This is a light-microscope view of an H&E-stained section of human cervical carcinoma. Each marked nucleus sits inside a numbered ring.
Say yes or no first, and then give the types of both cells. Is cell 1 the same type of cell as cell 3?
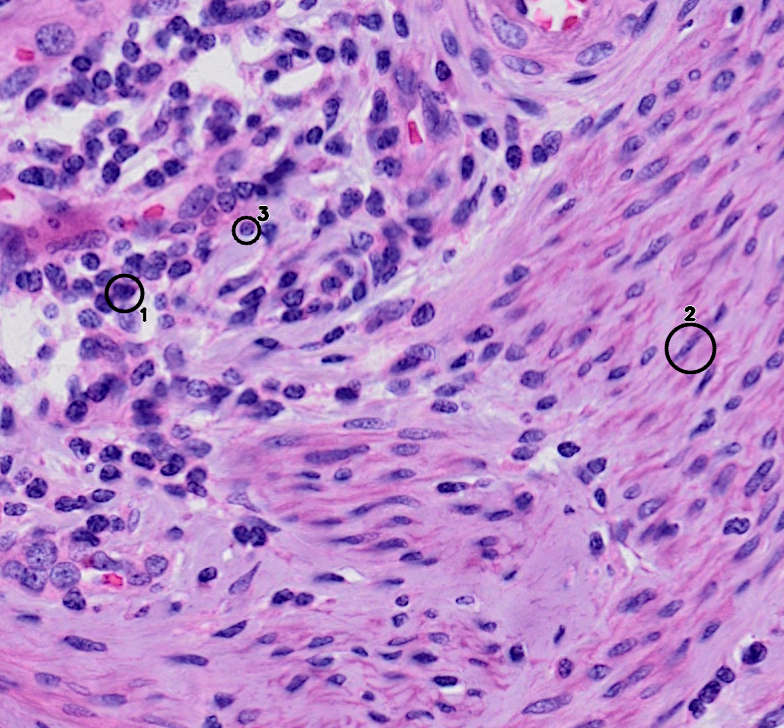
Yes, cells 1 and 3 are, both of them, lymphocytes.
